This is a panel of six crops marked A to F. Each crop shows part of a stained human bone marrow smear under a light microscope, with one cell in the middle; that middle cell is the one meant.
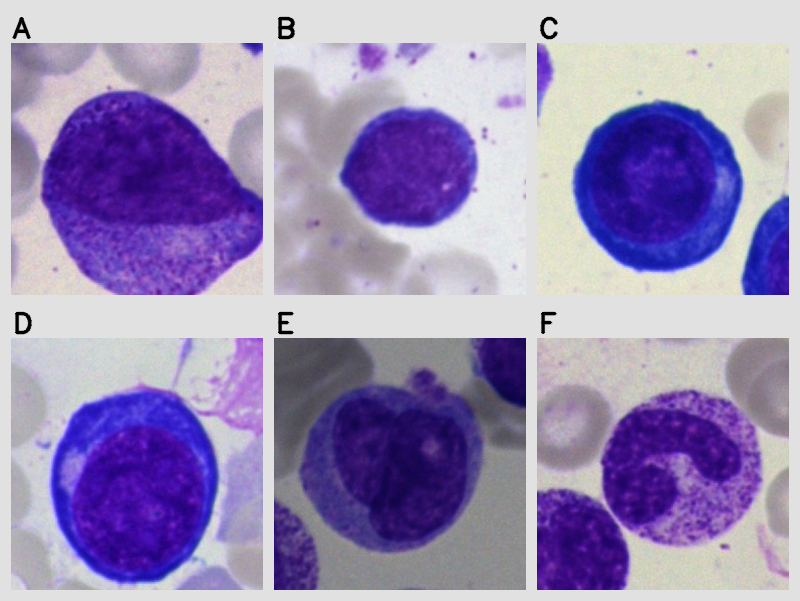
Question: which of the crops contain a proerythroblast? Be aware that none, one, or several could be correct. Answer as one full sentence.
Shown in the centre of crops C and D are proerythroblasts.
